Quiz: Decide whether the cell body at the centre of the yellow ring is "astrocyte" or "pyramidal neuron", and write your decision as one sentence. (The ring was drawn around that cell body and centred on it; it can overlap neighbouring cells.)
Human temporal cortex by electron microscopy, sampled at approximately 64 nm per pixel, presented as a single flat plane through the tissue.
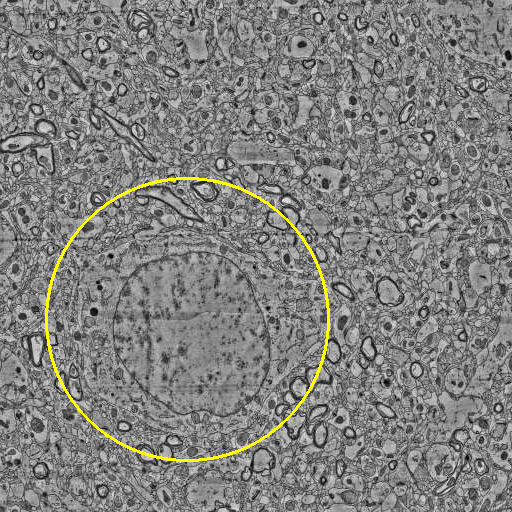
The cell the ring is centred on is a pyramidal neuron.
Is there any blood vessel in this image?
No, there is none.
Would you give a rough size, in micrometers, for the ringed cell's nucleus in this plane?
Approximately 11 micrometres long and 10 micrometres wide, in this plane.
